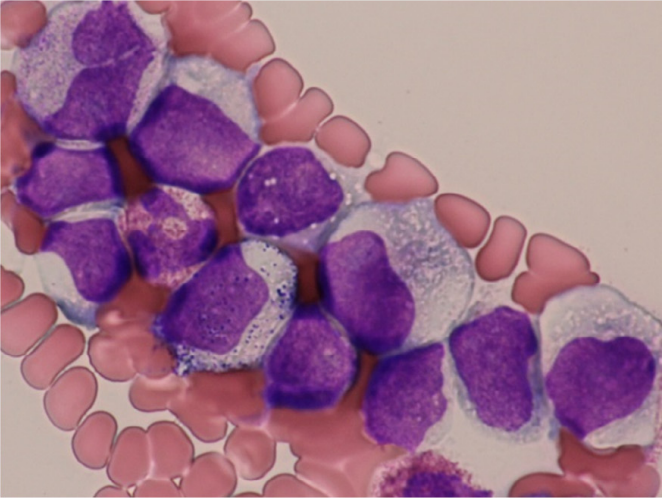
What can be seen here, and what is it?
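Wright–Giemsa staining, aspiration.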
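A cluster of large blast cells lies among smaller pink red blood cells in a bone marrow smear. The blasts have large, irregular to indented nuclei with finely dispersed purple chromatin. They have a rim of pale blue cytoplasm, in some cells holding fine purple-red granules.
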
